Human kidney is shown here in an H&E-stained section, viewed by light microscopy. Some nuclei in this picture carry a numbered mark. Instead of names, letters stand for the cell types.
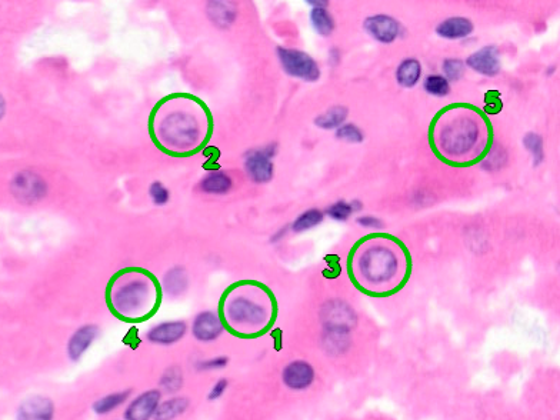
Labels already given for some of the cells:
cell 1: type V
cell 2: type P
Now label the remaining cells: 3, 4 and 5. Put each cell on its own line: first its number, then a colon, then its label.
3: type P
4: type V
5: type P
